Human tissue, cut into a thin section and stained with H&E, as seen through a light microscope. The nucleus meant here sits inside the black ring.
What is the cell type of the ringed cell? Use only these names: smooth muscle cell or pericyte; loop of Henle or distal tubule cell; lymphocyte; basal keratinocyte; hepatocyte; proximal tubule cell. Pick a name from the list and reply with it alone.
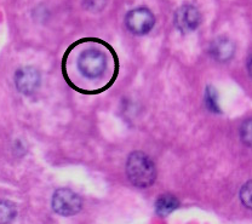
hepatocyte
